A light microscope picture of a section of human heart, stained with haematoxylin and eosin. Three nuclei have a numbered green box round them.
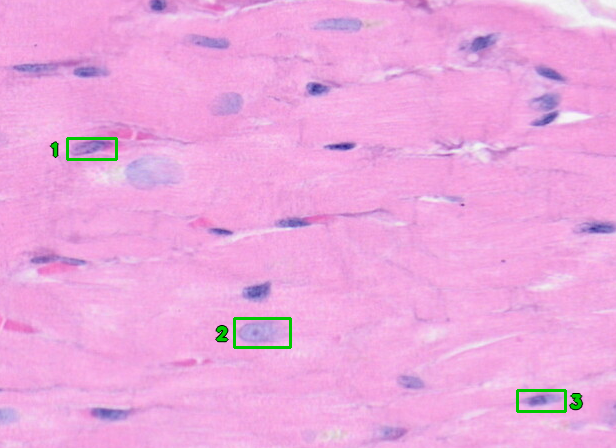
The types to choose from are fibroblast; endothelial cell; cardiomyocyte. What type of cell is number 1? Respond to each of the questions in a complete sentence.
In this section, the cell numbered 1 is an endothelial cell.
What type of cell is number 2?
Within this field of view, the cell labelled 2 is a cardiomyocyte.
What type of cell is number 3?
The cell that goes by number 3 is an endothelial cell.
